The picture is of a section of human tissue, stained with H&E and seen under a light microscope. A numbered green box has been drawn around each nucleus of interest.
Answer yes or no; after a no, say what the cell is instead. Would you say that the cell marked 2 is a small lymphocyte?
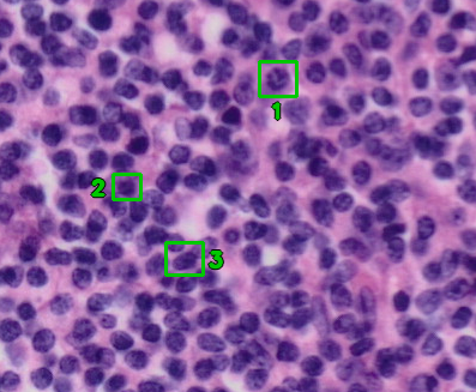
Yes.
